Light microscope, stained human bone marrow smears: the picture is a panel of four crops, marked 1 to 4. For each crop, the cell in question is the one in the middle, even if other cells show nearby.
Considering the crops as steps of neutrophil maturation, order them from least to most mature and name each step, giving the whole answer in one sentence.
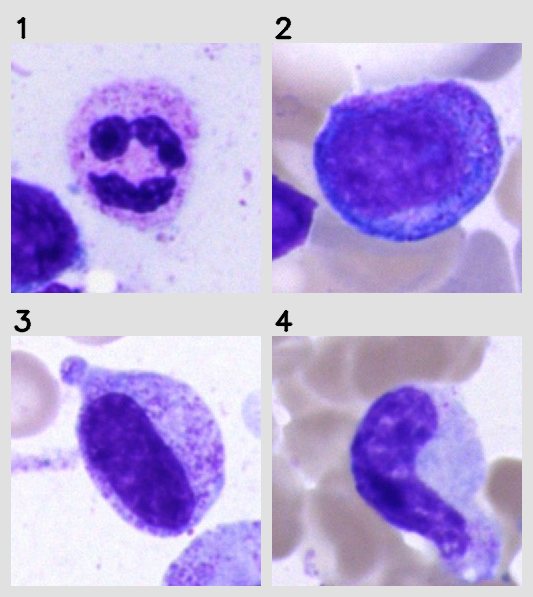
Maturity order, least to most: crop 2 (a promyelocyte), crop 3 (a metamyelocyte), crop 4 (a band neutrophil) and crop 1 (a segmented neutrophil).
